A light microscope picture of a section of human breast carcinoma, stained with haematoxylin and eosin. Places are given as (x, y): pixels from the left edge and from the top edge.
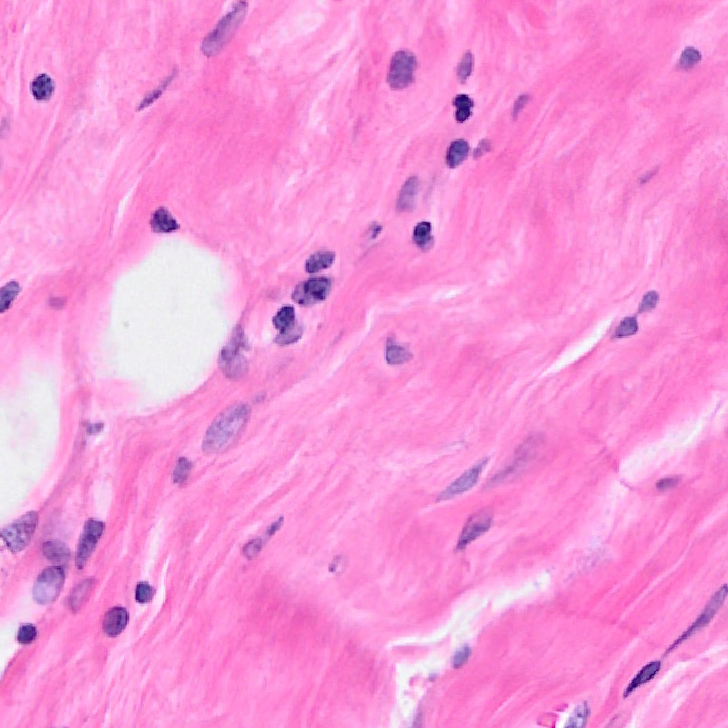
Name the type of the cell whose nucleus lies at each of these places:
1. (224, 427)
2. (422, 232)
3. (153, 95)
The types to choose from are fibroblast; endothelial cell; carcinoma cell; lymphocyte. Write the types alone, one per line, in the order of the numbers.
fibroblast
lymphocyte
fibroblast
